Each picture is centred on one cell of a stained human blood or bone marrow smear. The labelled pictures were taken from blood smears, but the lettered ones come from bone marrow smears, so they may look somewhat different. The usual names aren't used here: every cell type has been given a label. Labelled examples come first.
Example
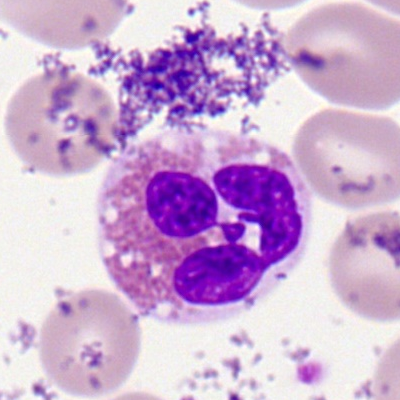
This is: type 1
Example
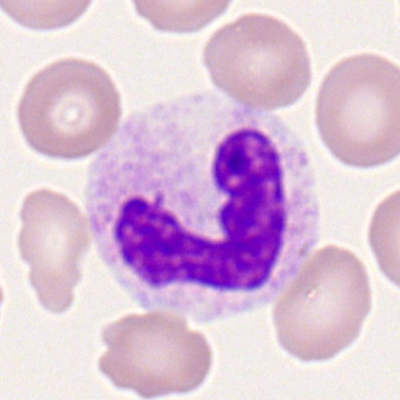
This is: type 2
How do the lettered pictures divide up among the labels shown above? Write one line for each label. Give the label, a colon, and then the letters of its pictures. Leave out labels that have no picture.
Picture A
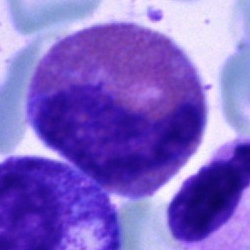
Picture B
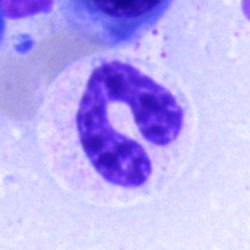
type 1: A
type 2: B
